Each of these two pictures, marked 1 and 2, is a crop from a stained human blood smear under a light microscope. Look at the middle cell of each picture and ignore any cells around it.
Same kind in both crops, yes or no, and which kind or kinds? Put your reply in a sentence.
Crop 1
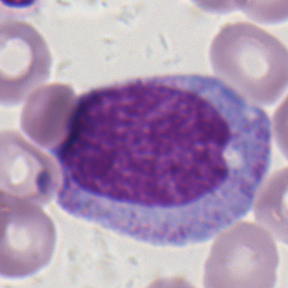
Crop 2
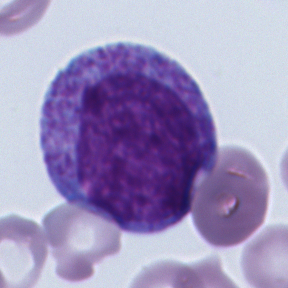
Yes, it is promyelocytes that sit at the centre of both crops.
